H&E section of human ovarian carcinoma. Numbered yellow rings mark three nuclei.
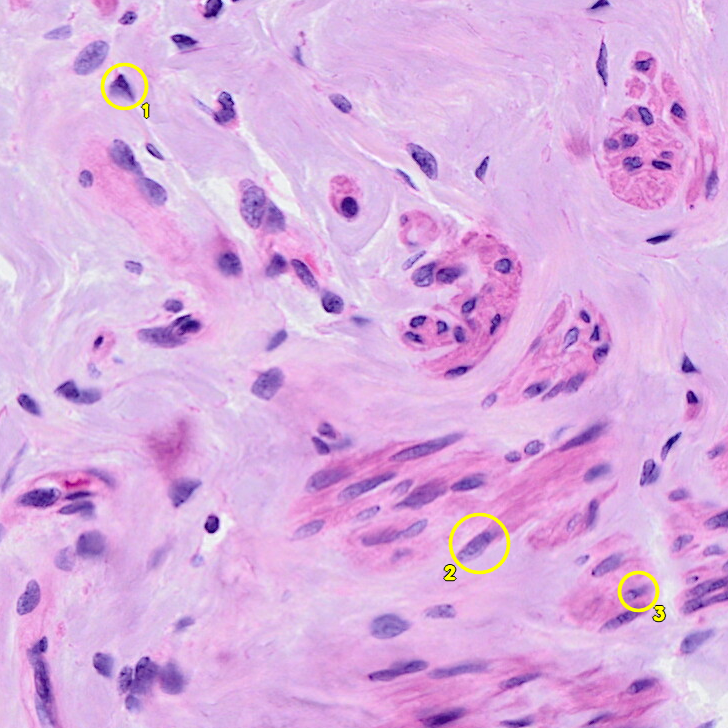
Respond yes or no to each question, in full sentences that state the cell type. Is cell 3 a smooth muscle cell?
Yes, in the section, number 3 is a smooth muscle cell.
